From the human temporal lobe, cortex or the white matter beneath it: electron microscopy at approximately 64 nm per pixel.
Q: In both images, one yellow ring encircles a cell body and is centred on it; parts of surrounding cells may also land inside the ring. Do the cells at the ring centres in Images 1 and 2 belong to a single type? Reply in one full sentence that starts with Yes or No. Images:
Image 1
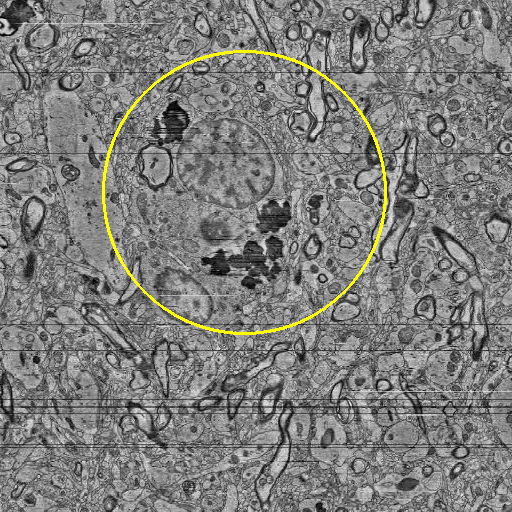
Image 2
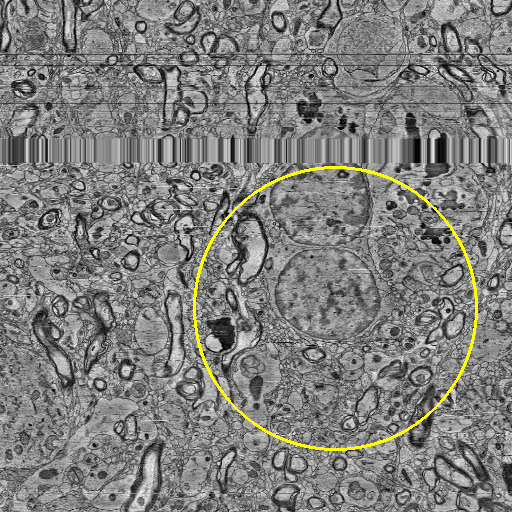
Yes, the cells at the ring centres in Images 1 and 2 are of a single type.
